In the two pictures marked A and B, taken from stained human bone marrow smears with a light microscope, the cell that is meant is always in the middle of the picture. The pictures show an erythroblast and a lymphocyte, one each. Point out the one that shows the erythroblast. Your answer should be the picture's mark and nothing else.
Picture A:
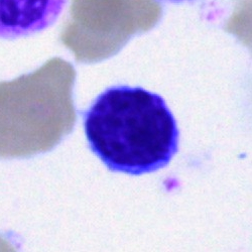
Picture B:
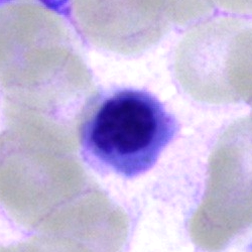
B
